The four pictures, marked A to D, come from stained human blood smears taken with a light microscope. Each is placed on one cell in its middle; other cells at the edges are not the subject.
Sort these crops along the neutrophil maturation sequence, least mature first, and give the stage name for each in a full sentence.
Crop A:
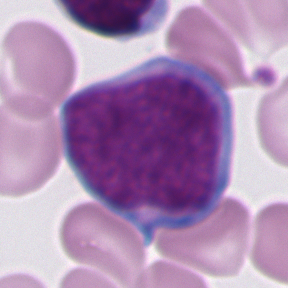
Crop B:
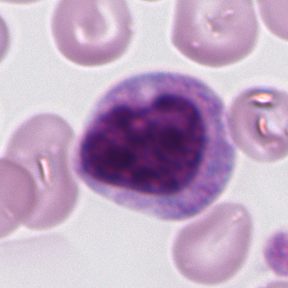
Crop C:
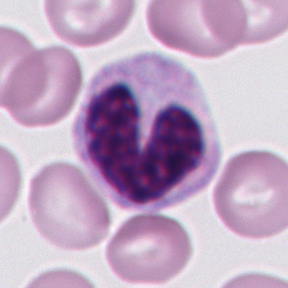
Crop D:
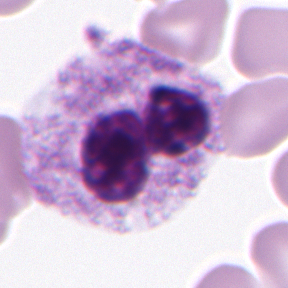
Ranked in ascending maturity, the crops are crop A (a myeloblast), crop B (a metamyelocyte), crop C (a band neutrophil) and crop D (a segmented neutrophil).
